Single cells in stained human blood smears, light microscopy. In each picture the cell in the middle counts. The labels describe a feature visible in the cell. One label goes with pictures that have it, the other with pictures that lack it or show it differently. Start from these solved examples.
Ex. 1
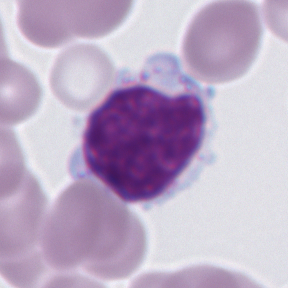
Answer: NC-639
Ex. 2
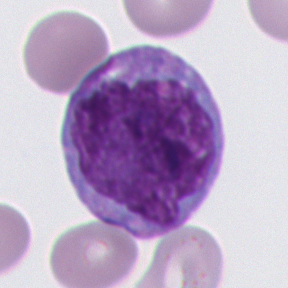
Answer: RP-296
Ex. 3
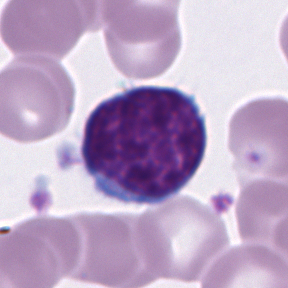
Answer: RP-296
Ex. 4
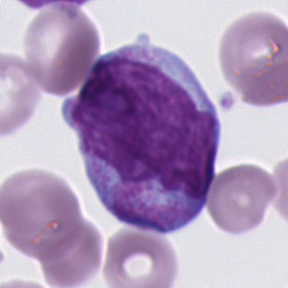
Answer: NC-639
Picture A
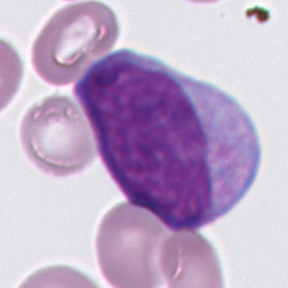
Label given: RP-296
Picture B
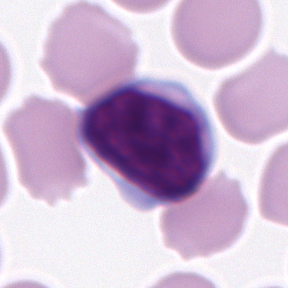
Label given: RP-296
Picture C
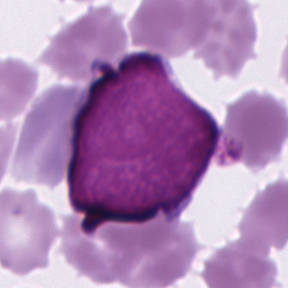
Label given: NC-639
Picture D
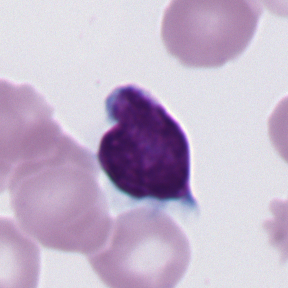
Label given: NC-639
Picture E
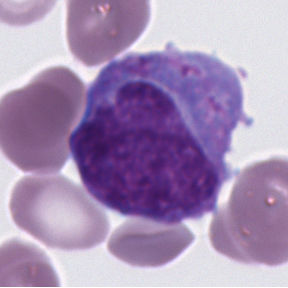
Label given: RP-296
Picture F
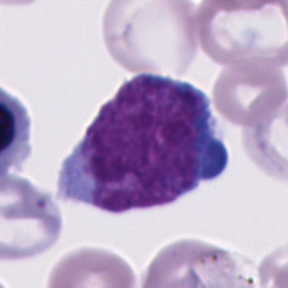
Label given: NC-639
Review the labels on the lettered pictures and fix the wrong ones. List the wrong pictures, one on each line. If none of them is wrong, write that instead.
E: NC-639, not RP-296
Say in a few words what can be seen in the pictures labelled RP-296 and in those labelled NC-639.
RP-296, smooth outline; NC-639, ragged outline or projections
